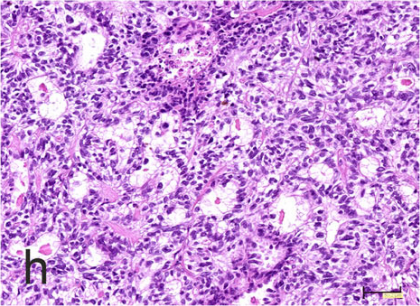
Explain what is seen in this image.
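Here the tumor grows as solid sheets of closely packed cells with dark oval nuclei. Scattered through the sheets are many small pale spaces, microcystic changes, some holding faint wispy material.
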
